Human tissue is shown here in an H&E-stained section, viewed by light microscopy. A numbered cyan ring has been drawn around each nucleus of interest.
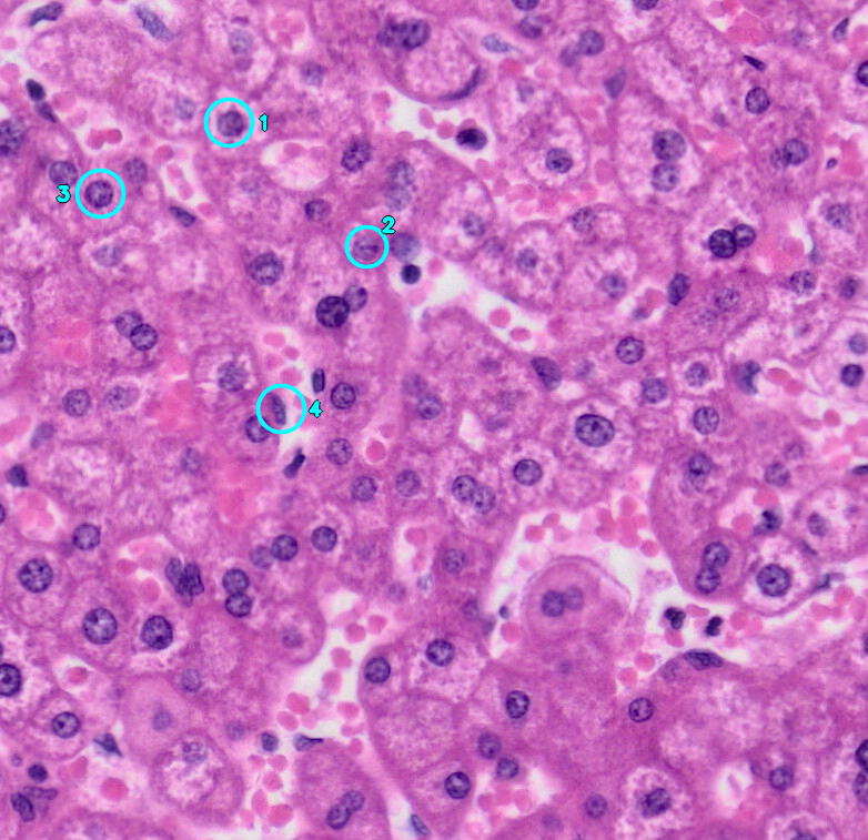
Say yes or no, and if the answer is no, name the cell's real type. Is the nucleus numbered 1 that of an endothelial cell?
No, it is a hepatocyte.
